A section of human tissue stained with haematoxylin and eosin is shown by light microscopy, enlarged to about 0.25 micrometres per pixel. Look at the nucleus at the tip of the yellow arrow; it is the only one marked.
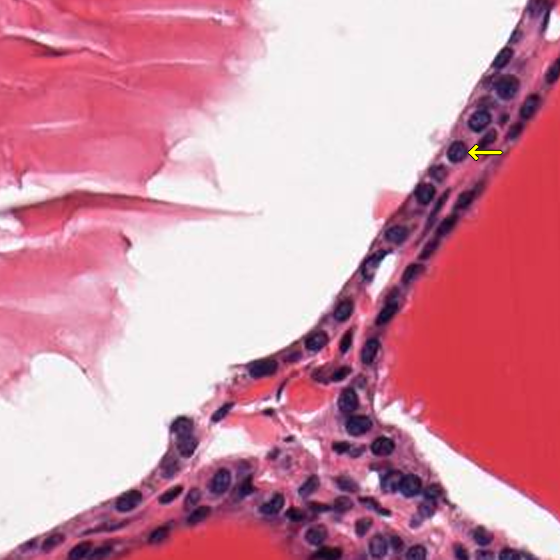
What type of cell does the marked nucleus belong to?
thyroid follicular cell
